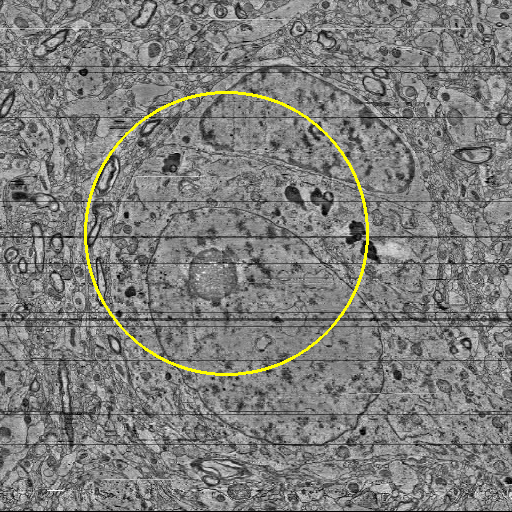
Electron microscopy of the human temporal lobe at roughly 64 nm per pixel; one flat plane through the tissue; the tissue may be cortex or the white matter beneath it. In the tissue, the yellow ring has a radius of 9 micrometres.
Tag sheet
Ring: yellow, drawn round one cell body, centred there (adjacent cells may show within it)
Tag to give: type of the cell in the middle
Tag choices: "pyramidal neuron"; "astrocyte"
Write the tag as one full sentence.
I tag the cell centred in the yellow ring as a pyramidal neuron in this picture.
